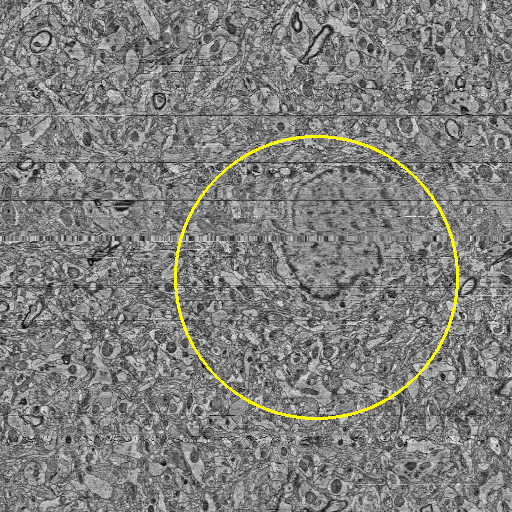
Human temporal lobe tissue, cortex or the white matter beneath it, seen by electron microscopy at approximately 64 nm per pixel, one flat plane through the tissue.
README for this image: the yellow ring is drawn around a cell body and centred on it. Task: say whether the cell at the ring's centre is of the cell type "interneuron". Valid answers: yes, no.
yes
